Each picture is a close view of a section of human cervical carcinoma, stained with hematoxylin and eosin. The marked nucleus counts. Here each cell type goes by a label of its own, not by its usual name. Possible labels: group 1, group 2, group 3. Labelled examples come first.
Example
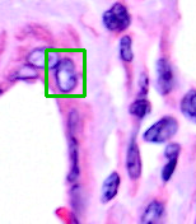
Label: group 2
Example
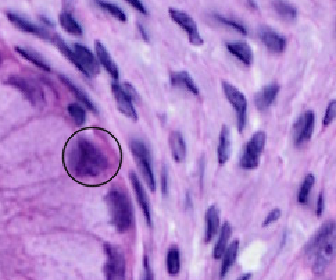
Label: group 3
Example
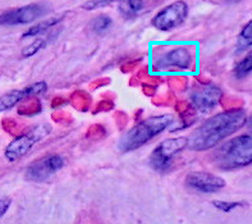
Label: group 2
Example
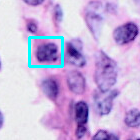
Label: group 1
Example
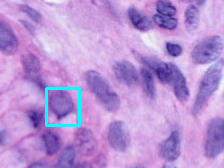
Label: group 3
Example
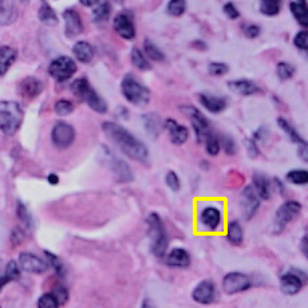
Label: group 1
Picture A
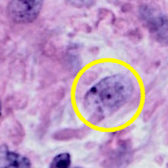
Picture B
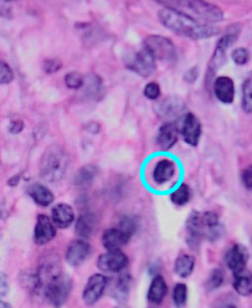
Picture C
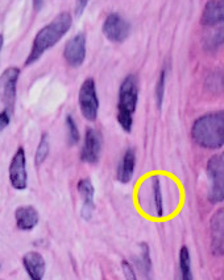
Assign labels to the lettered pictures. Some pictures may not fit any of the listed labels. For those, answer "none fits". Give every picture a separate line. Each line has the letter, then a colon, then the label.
A: none fits
B: group 1
C: none fits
